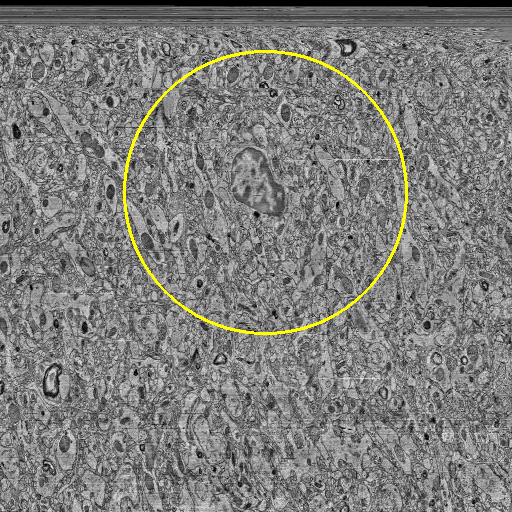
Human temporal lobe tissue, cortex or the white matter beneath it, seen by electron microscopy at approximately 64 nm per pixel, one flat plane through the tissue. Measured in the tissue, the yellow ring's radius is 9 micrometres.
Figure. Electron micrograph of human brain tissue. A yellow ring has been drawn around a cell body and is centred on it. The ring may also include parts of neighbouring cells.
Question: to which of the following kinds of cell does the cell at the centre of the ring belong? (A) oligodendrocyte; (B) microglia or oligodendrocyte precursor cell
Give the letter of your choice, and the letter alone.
B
